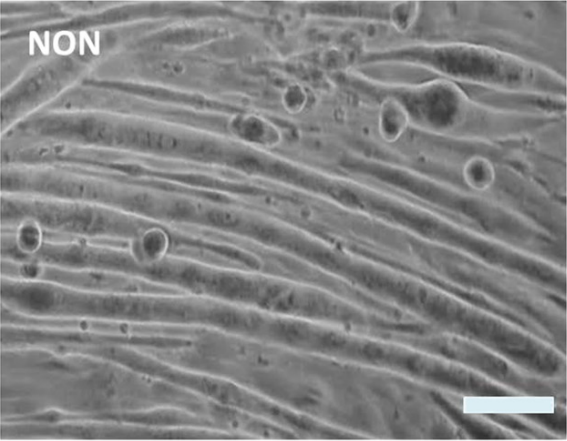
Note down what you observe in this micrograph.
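Under phase contrast, many long, slender, unbranched tubes stretch across the field, lying side by side and running roughly parallel from the upper left toward the lower right. Each tube has bright, refractile edges and a finely granular, darker interior, and the tubes are tightly packed with little free space between them. A few small, rounded, bright-rimmed bodies sit scattered on top of the layer. These elongated, aligned tubes are cultured myotubes.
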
